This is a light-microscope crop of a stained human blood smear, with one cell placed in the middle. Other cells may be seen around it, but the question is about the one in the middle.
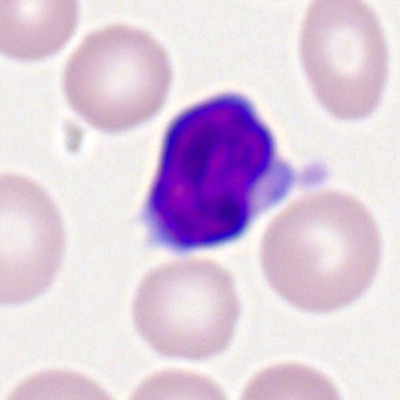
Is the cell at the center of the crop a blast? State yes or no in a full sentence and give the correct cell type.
No, the cell at the centre is a lymphocyte, which rules out a blast.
